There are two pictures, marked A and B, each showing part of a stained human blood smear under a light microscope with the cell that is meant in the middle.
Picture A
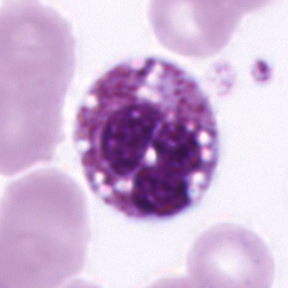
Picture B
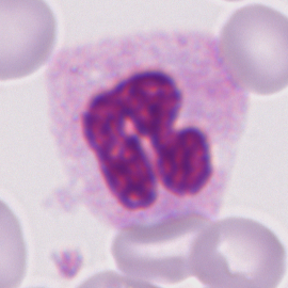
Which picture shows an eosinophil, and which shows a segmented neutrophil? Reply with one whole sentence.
It is picture A that shows an eosinophil, and picture B that shows a segmented neutrophil.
